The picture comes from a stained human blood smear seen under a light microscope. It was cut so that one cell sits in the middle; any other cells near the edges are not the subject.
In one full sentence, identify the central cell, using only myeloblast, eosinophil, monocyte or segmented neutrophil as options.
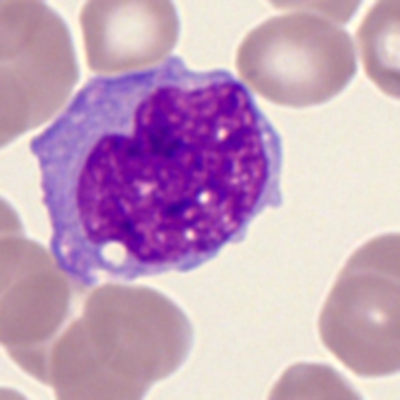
The cell of interest, located centrally, is a monocyte.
